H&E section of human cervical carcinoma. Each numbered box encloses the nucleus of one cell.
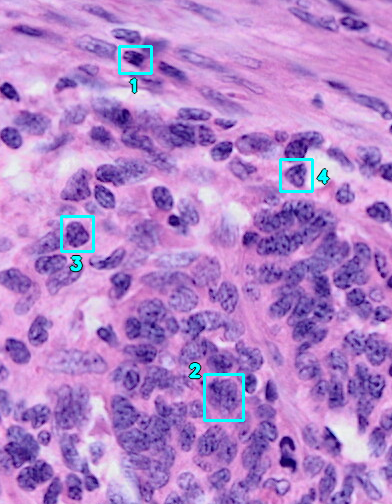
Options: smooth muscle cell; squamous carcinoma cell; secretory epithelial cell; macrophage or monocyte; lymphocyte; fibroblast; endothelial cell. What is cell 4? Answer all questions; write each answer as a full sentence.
Cell 4, among those numbered, is a lymphocyte.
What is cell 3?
The numeral 3 marks a lymphocyte in this section.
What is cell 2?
Identified as a squamous carcinoma cell is the cell bearing the number 2.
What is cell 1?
The nucleus marked 1 is the nucleus of a lymphocyte.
